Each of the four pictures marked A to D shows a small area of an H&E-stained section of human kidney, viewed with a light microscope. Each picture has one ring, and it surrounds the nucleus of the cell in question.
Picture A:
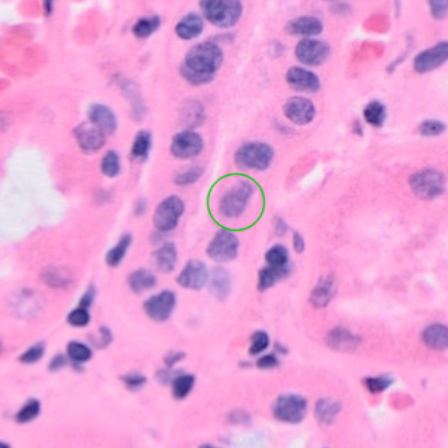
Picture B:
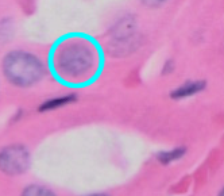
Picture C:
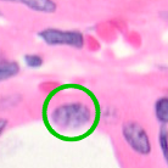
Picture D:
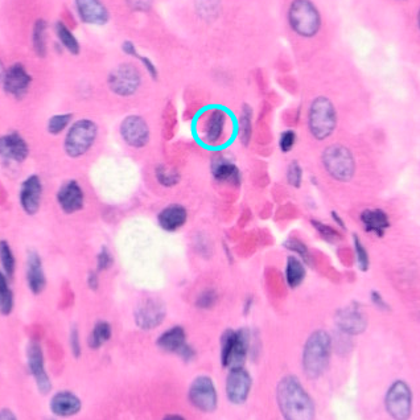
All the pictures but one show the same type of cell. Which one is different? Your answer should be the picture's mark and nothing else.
D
